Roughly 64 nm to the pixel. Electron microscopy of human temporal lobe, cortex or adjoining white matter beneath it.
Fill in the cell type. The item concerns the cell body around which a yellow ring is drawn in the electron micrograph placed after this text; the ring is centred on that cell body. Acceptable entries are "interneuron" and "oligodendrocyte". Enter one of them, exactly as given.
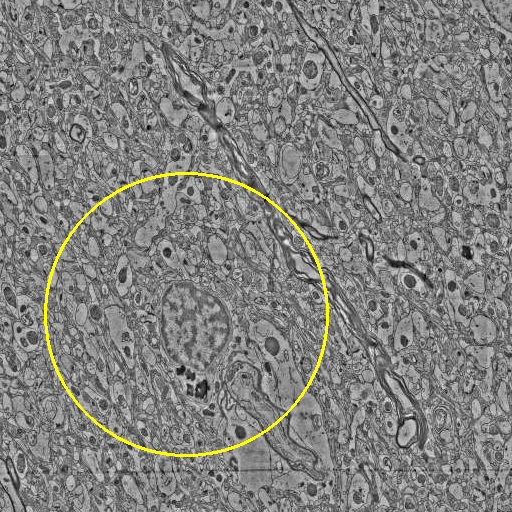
oligodendrocyte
